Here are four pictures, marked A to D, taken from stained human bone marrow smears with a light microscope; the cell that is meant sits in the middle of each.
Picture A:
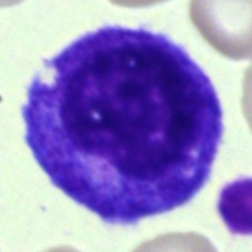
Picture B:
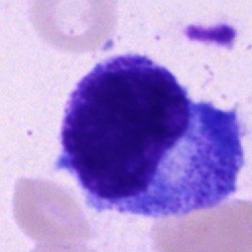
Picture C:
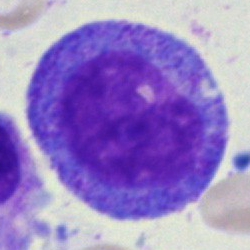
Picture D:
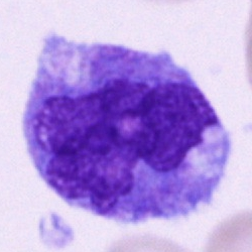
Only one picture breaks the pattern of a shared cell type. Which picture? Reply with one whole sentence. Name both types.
All pictures except D show promyelocytes; picture D shows a monocyte.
